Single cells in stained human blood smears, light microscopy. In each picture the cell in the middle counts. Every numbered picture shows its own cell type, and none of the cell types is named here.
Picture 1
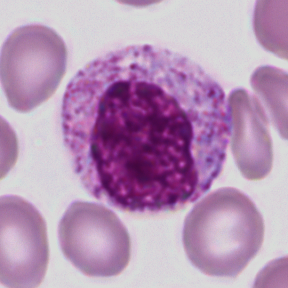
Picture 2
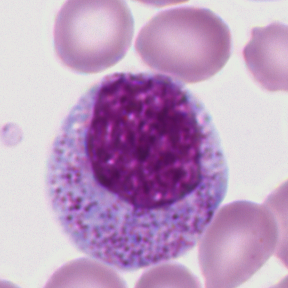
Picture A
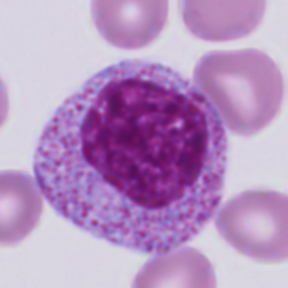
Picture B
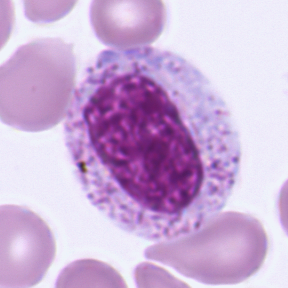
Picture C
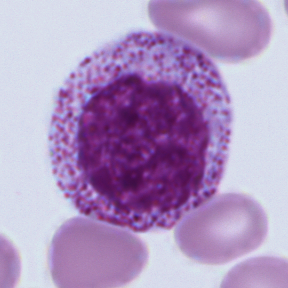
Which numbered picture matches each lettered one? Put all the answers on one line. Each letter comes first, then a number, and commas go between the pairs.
A 2, B 2, C 2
